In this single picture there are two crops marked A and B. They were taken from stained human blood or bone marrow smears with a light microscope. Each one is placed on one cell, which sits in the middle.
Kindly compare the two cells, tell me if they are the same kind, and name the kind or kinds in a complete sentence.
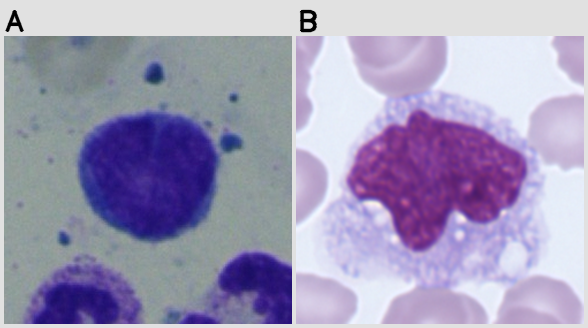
No, shown in crop A is a blast, and shown in crop B is a monocyte.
